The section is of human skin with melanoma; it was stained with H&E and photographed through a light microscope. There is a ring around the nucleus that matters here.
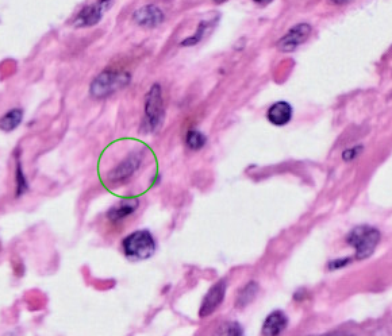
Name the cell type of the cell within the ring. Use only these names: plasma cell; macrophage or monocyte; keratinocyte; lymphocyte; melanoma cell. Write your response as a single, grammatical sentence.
In this field of tissue, the cell within the ring is a macrophage or monocyte.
